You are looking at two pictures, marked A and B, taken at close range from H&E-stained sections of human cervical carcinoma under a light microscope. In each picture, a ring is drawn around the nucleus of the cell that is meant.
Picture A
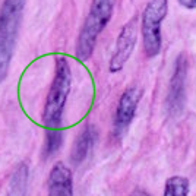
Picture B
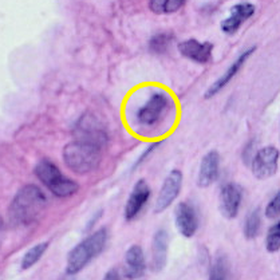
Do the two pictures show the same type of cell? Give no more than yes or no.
no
